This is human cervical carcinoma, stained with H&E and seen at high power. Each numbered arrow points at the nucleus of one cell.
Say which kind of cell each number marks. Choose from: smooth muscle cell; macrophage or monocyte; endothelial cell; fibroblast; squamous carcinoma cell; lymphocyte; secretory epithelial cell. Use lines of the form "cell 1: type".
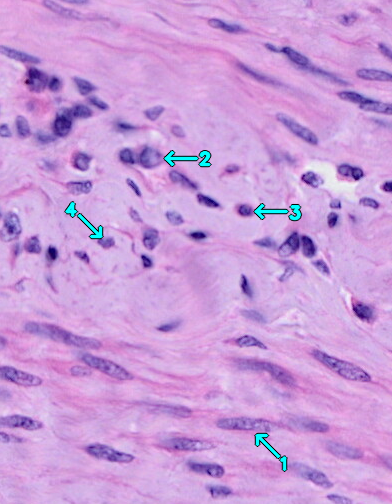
cell 1: smooth muscle cell
cell 2: endothelial cell
cell 3: smooth muscle cell
cell 4: smooth muscle cell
